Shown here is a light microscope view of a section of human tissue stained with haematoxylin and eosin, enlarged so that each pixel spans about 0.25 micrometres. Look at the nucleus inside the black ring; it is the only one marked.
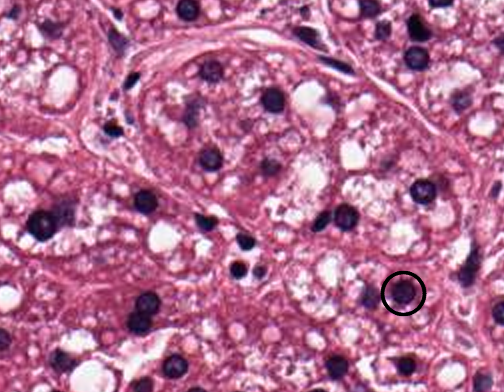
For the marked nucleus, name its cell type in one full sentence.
Here it is an adrenal cortical cell that the marked nucleus belongs to.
